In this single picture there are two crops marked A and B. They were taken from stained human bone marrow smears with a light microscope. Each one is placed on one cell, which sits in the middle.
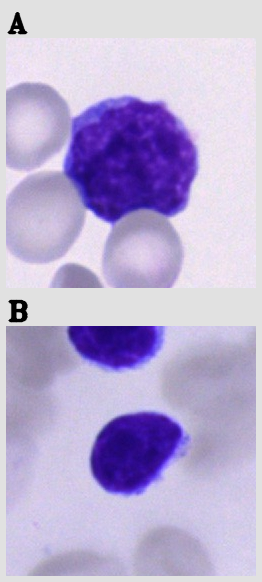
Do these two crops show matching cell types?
no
